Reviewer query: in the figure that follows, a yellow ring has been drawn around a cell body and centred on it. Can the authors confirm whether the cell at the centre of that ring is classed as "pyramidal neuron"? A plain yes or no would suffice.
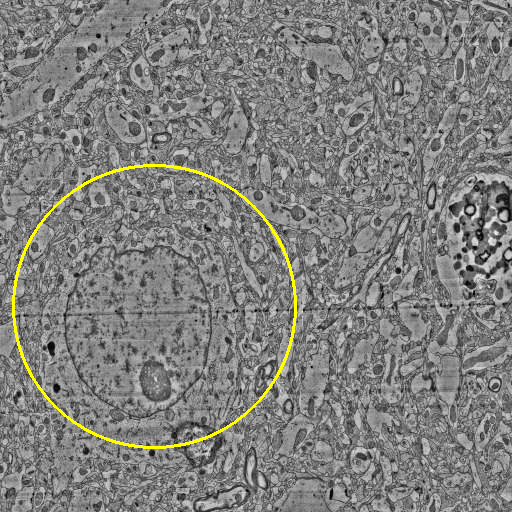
yes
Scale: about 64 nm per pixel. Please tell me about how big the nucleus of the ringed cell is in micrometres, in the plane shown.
The ringed cell's nucleus measures approximately 11 by 10 micrometres in this plane.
